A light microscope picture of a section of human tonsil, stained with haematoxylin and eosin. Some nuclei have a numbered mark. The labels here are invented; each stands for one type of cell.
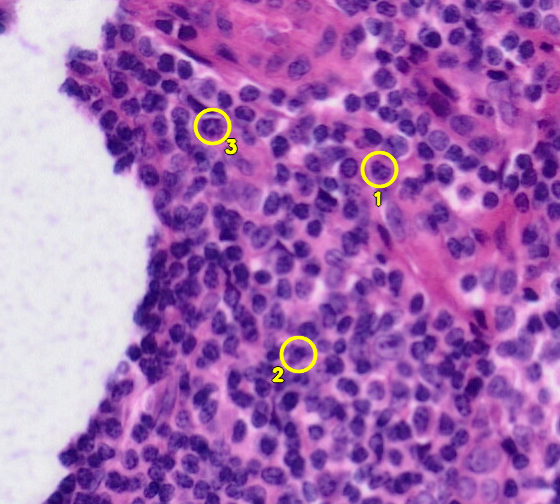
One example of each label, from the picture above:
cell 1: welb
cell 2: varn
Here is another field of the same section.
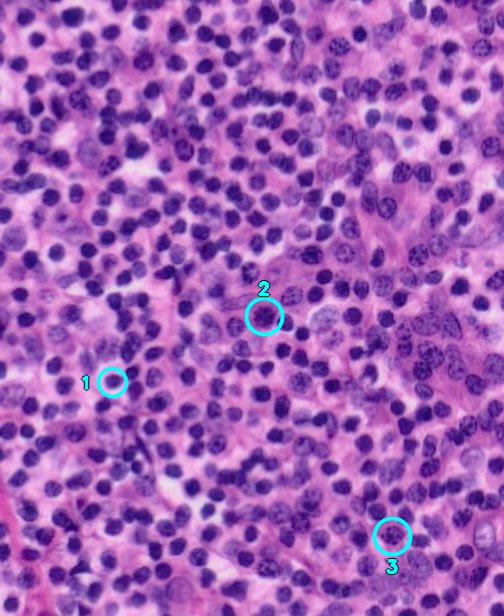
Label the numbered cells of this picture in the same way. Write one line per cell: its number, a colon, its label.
1: varn
2: welb
3: welb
